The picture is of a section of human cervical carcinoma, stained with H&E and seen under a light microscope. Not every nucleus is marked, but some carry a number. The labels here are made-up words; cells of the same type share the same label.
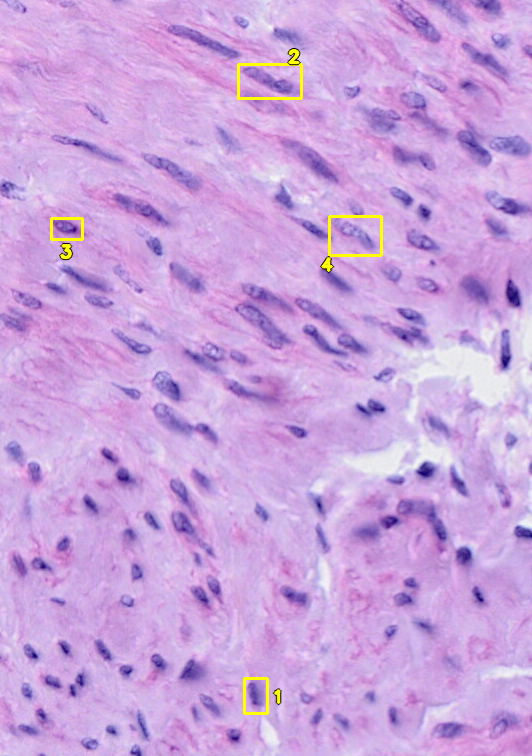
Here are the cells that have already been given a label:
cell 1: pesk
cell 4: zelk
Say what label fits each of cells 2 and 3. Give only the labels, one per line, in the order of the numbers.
zelk
zelk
